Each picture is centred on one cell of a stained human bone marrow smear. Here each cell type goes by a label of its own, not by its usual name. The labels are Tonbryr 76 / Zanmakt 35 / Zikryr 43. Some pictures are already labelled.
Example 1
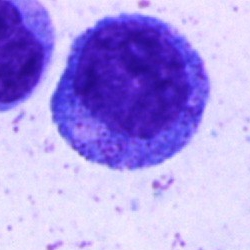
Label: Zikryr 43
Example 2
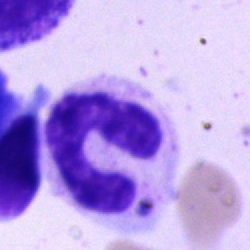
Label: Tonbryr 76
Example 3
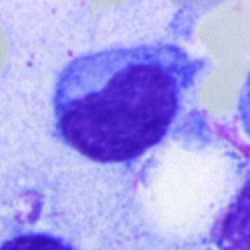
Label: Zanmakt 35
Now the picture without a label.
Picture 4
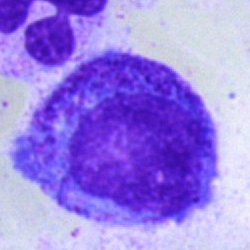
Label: Zikryr 43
